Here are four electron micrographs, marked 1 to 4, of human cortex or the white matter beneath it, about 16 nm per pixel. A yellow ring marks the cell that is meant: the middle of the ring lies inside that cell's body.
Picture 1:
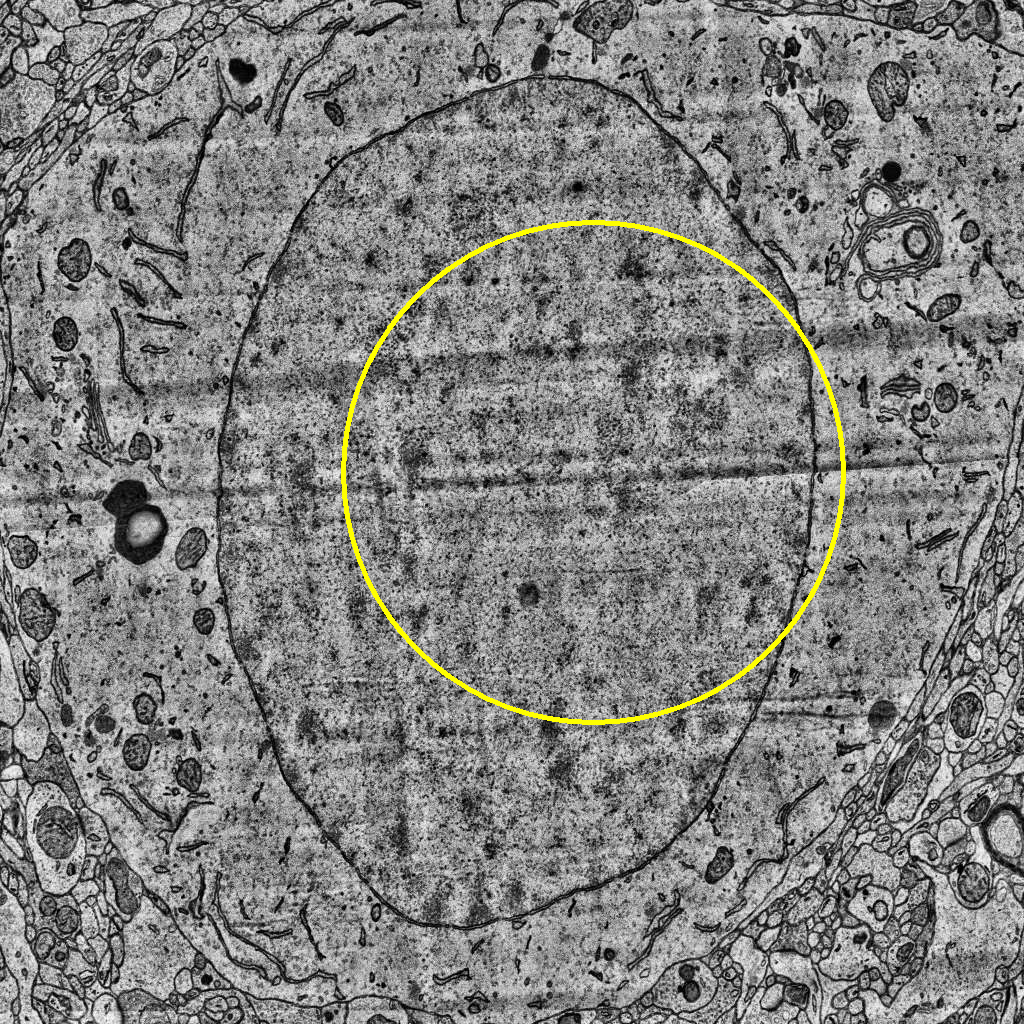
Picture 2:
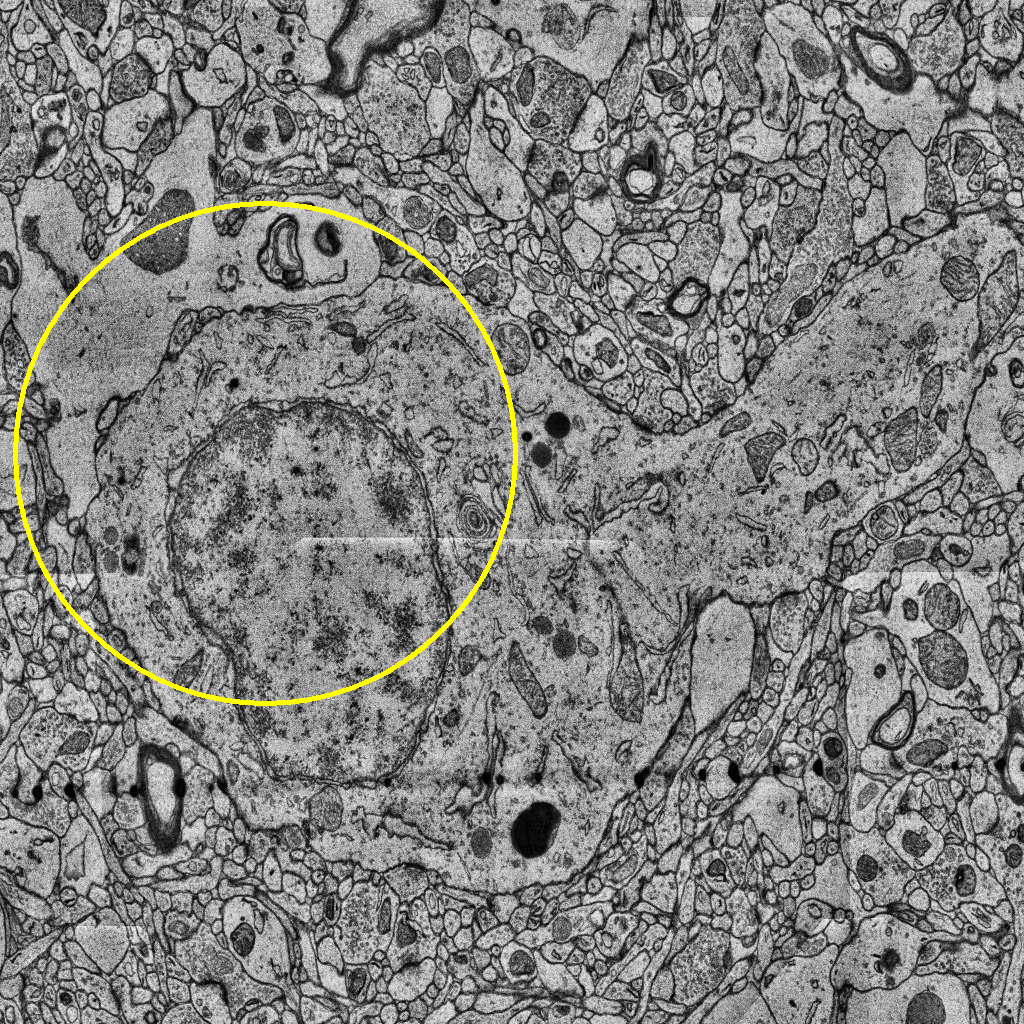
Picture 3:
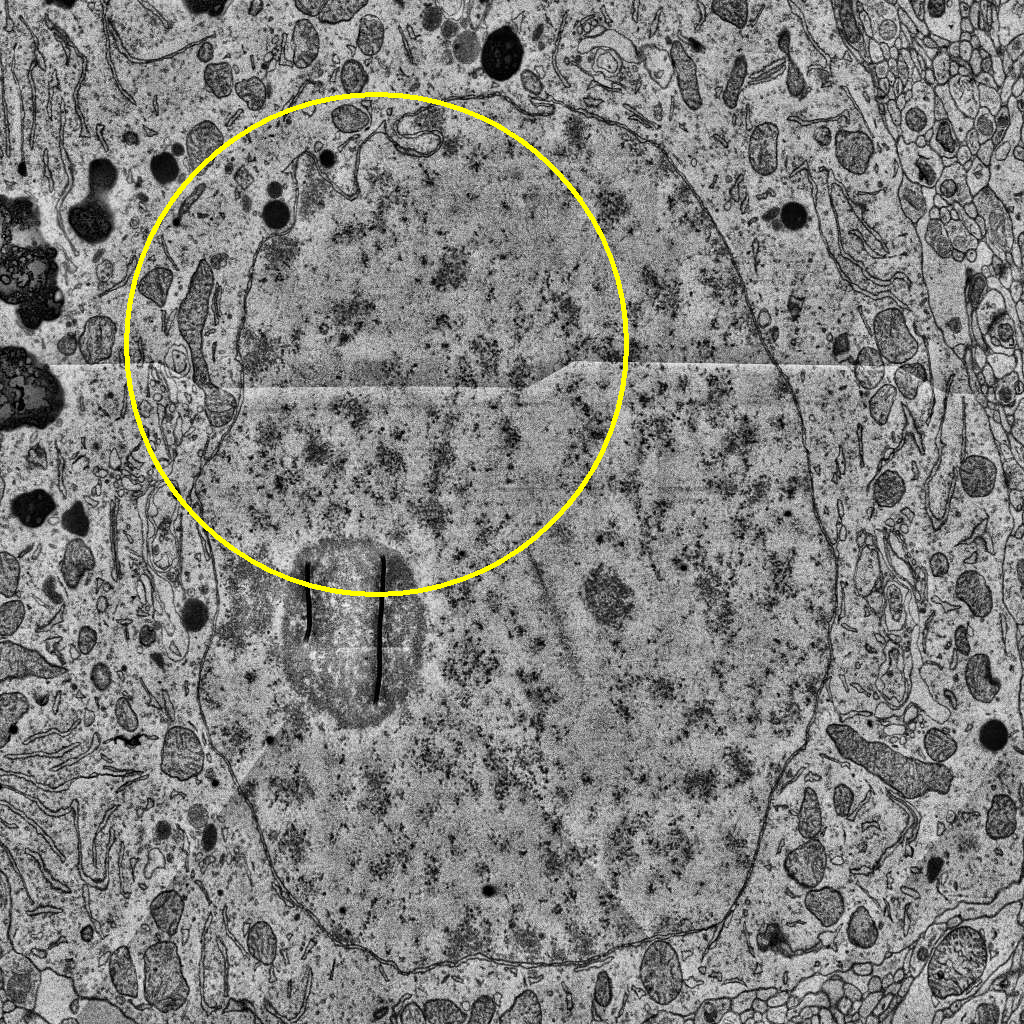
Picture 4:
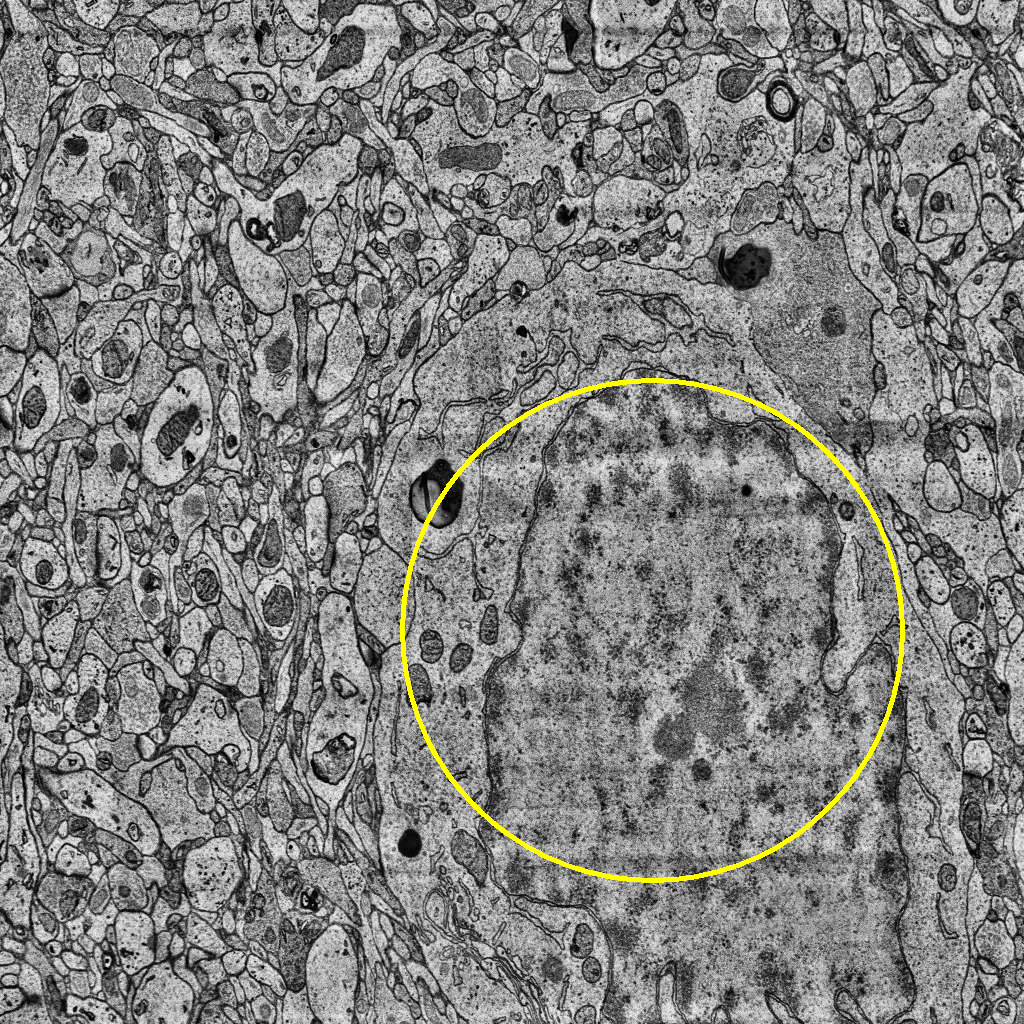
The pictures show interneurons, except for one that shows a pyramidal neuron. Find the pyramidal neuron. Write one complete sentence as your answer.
Picture 1 is the one that shows the pyramidal neuron.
